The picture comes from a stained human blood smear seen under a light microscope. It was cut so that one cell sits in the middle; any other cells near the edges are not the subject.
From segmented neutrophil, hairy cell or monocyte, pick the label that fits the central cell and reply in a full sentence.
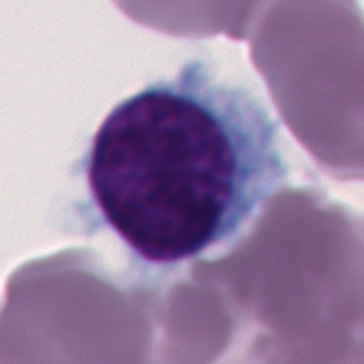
The centrally positioned cell in the crop represents a hairy cell.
